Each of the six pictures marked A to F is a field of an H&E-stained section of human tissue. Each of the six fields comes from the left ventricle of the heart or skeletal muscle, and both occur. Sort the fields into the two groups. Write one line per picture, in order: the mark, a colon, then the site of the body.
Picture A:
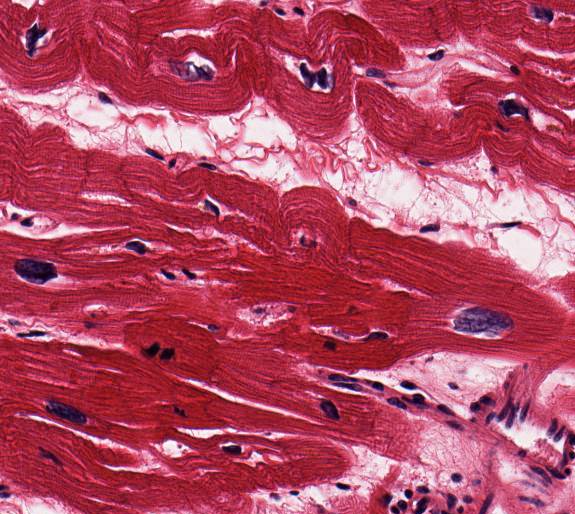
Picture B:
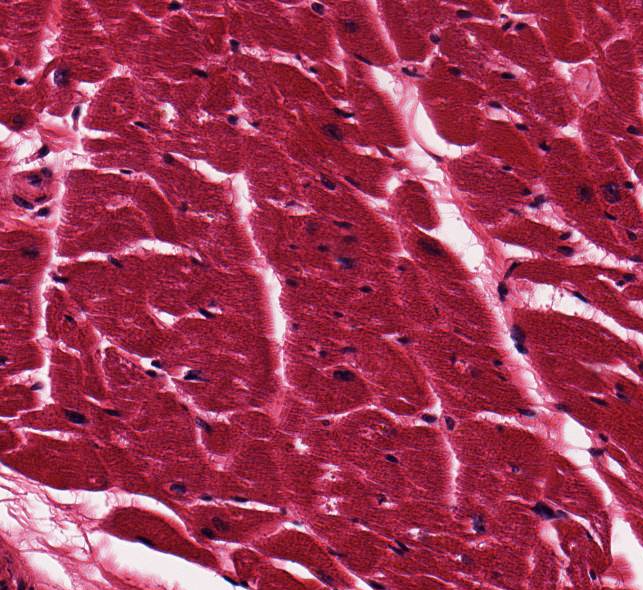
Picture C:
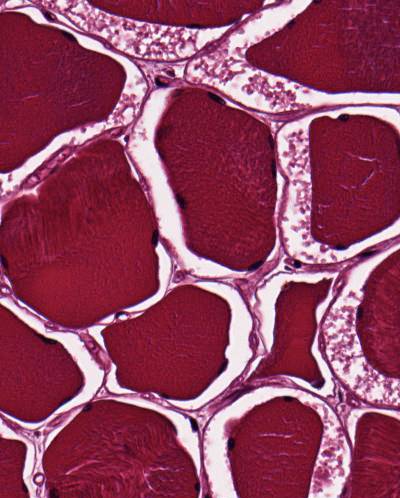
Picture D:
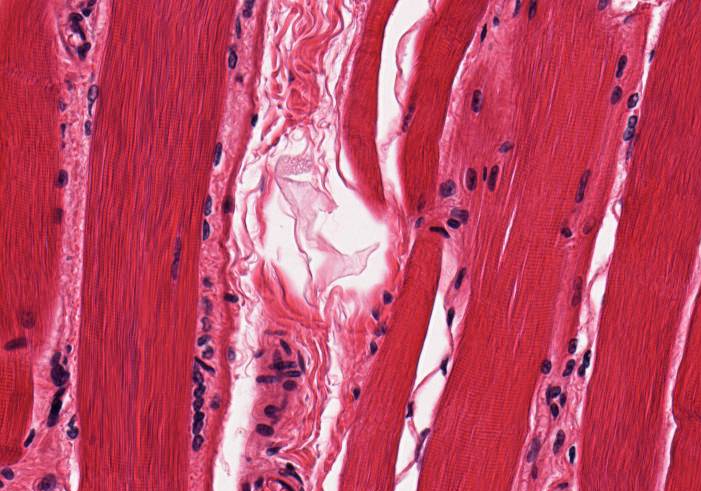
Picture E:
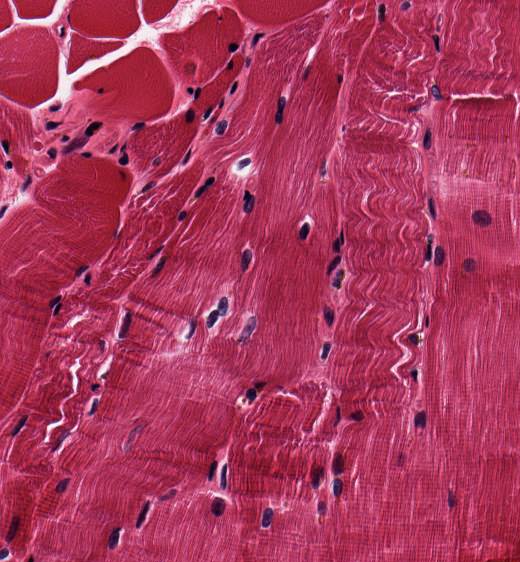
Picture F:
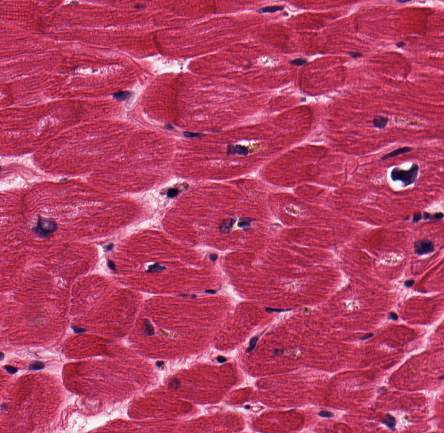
A: left ventricle of the heart
B: left ventricle of the heart
C: skeletal muscle
D: skeletal muscle
E: skeletal muscle
F: left ventricle of the heart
